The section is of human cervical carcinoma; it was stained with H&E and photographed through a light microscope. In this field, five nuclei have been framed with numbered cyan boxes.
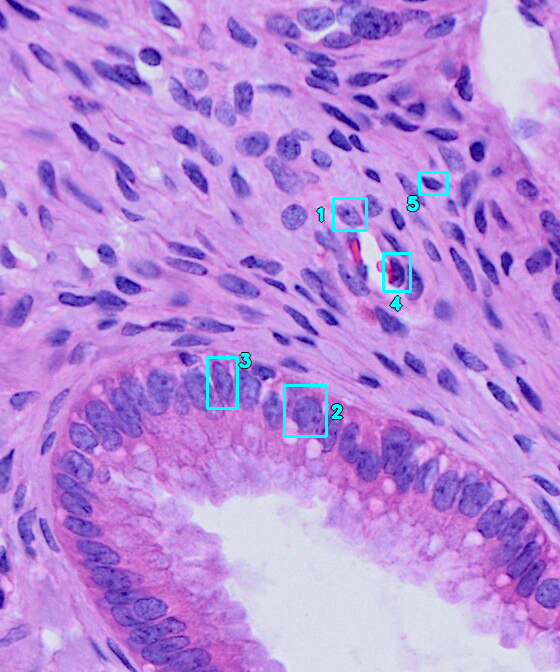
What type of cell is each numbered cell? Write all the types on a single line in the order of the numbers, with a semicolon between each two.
endothelial cell; secretory epithelial cell; secretory epithelial cell; endothelial cell; fibroblast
